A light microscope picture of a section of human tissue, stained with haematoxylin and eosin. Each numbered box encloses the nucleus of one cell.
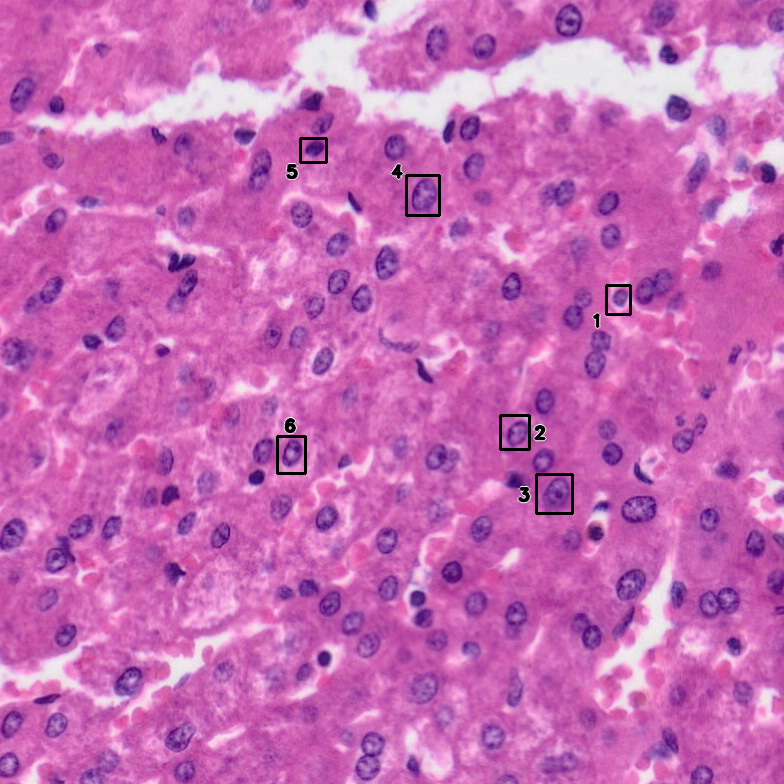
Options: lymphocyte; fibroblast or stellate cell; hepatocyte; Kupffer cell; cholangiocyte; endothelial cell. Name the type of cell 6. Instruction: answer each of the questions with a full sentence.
The correct label for cell 6 is a hepatocyte.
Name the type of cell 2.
Regarding cell 2, this one is a hepatocyte.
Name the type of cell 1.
Recognised here as a lymphocyte is the cell numbered 1.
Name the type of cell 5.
The cell referred to as 5 is a fibroblast or stellate cell.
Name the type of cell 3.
The nucleus labeled 3 belongs to a hepatocyte.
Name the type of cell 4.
The cell referred to as 4 is a hepatocyte.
